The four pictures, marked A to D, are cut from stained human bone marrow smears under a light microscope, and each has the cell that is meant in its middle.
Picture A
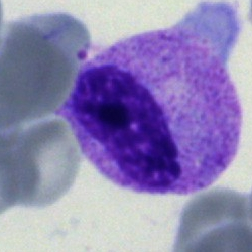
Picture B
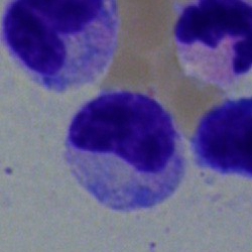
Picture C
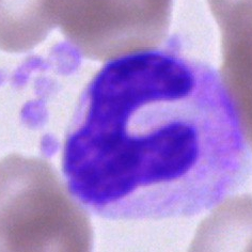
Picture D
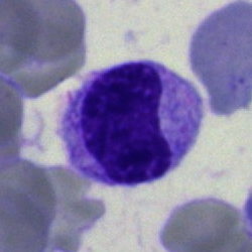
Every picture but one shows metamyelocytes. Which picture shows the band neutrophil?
C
